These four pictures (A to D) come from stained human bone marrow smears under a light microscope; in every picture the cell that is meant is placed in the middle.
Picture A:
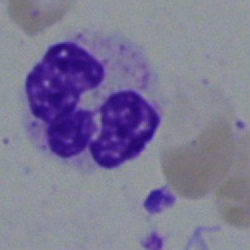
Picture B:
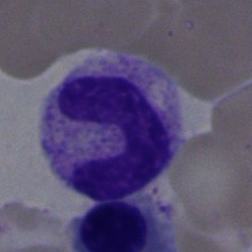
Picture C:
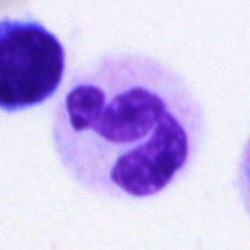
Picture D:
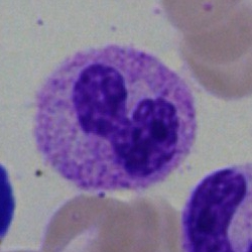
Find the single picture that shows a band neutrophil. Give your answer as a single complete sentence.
It is picture B that shows the band neutrophil.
